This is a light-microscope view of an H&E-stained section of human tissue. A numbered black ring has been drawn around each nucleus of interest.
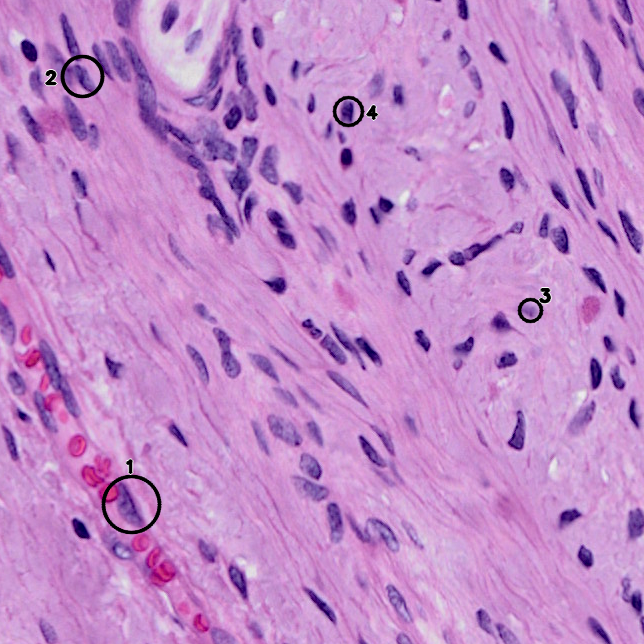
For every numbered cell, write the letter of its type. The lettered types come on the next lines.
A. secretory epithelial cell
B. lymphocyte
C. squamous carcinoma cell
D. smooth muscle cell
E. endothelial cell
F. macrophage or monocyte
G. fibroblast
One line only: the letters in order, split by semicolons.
E; G; G; G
